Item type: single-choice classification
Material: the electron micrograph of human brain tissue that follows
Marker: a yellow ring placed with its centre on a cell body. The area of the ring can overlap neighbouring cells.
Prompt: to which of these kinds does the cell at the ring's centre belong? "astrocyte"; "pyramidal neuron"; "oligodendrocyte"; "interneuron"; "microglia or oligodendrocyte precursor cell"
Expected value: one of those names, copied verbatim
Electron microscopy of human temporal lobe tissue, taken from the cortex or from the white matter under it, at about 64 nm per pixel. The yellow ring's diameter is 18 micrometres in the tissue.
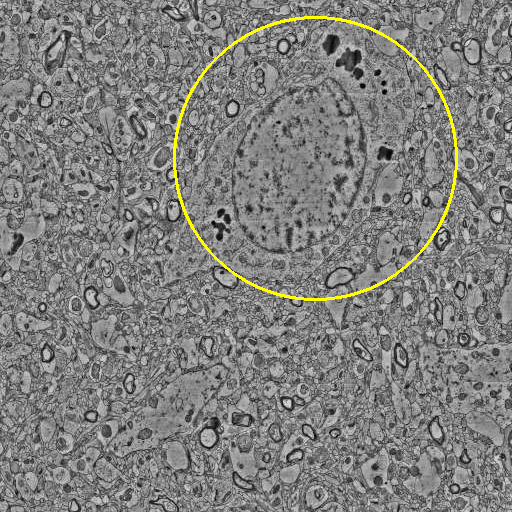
interneuron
